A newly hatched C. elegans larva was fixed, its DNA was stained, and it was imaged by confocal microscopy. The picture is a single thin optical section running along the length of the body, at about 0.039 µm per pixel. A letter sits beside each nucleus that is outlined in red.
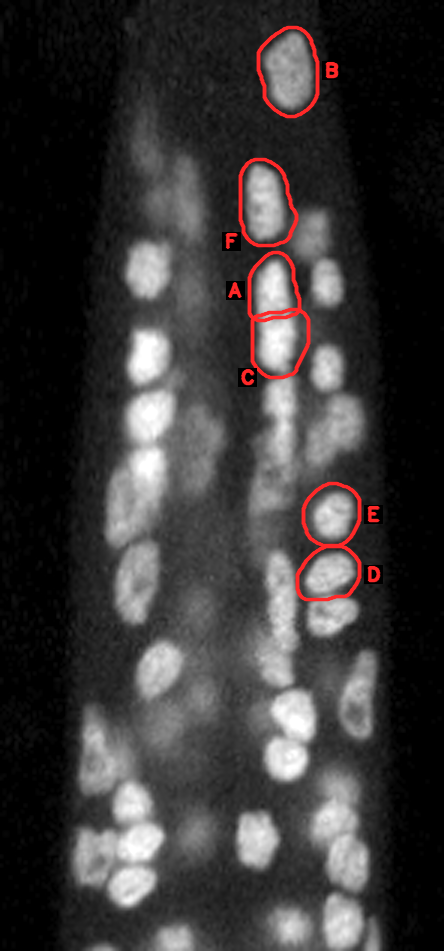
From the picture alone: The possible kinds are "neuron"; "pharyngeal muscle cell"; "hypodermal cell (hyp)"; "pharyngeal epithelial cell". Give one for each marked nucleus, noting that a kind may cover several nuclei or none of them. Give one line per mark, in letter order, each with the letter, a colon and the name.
A: pharyngeal muscle cell
B: hypodermal cell (hyp)
C: pharyngeal muscle cell
D: hypodermal cell (hyp)
E: hypodermal cell (hyp)
F: pharyngeal epithelial cell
